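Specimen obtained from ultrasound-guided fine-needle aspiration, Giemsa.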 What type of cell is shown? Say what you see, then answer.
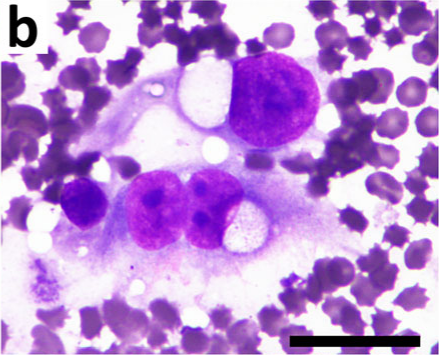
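A group of large cells with round to oval nuclei and pale cytoplasm. Crenated red blood cells surround the group.
Hence: Large epithelioid cells.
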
